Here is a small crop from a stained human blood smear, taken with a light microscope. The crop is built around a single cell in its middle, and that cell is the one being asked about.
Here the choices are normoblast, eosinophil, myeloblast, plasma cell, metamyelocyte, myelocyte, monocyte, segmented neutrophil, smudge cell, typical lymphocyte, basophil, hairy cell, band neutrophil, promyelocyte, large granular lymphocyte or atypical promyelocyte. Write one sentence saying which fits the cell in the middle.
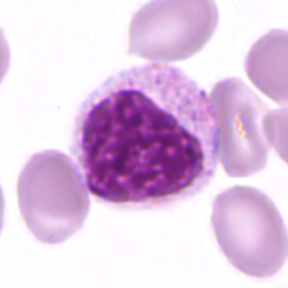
The cell positioned in the middle of the field is a metamyelocyte.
